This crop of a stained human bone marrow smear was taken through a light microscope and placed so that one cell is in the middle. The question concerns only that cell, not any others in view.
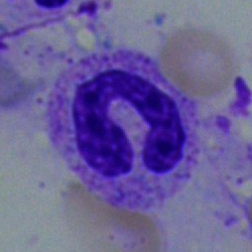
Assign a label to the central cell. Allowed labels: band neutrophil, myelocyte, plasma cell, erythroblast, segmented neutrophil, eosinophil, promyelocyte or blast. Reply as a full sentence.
Whatever else lies nearby, the middle cell is a band neutrophil.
